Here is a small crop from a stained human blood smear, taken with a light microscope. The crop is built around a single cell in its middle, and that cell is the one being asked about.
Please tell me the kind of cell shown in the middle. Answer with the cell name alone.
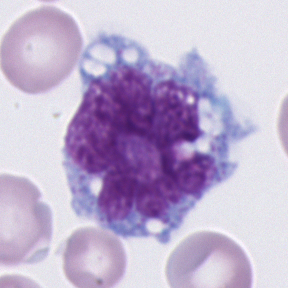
monocyte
